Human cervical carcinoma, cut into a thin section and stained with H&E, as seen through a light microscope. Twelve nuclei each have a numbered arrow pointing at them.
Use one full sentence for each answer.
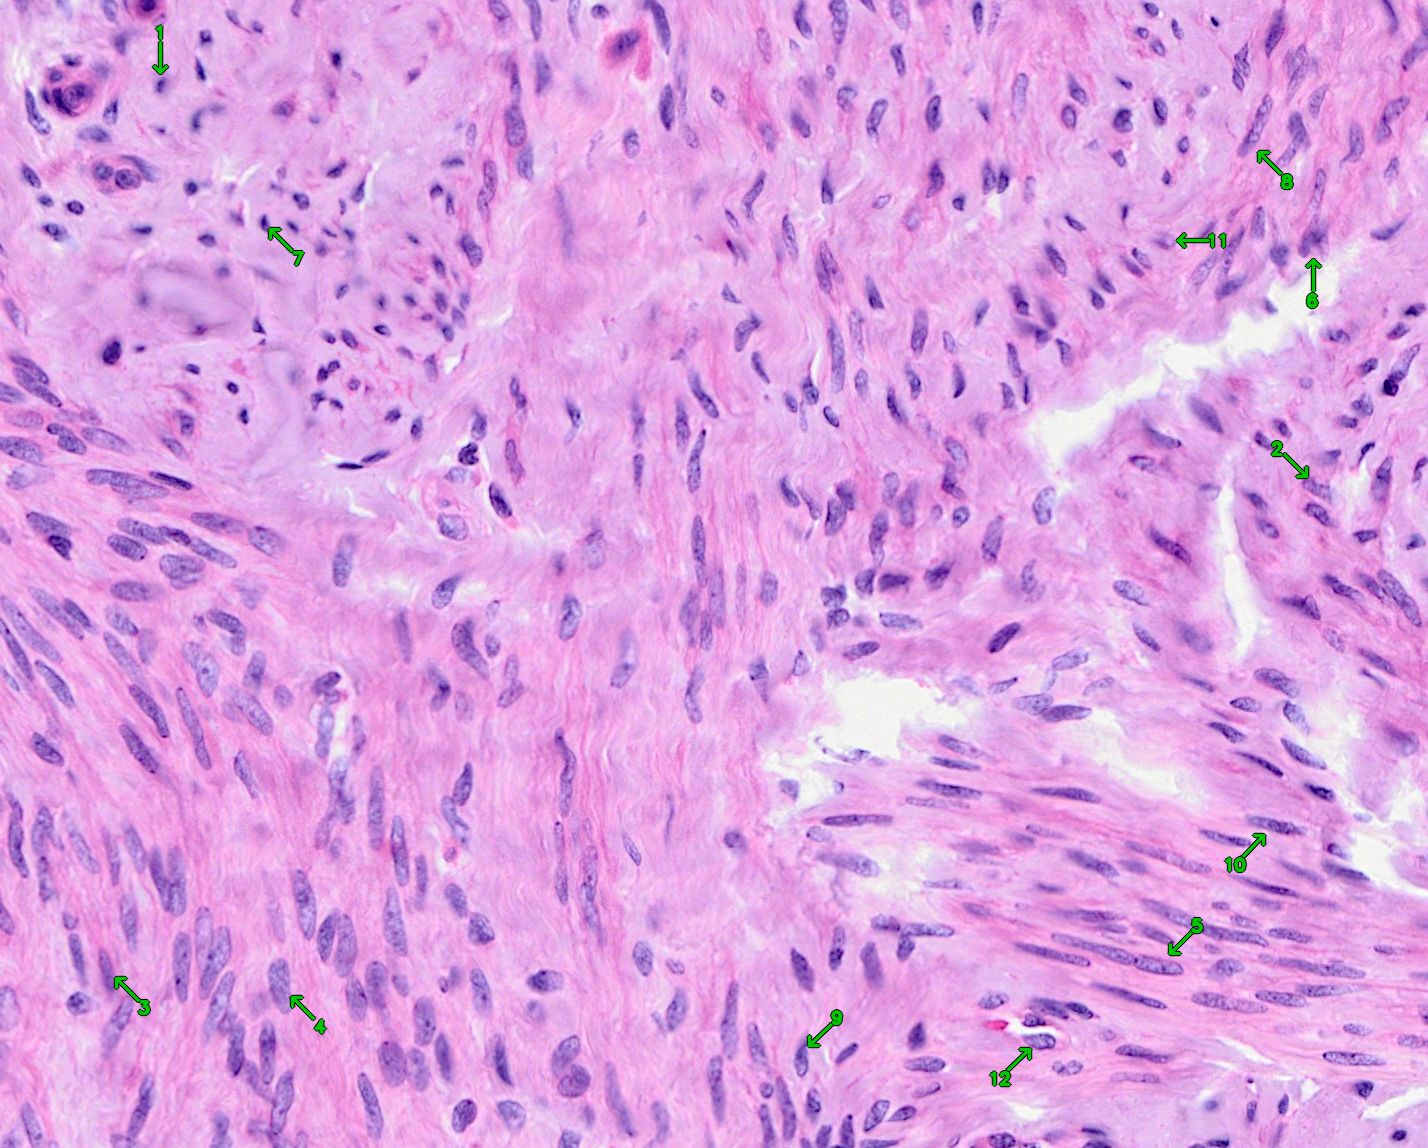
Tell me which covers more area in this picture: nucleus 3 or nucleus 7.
At about 3 times the area of nucleus 7, nucleus 3 is the larger of the two.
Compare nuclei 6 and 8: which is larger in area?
Nucleus 6 is larger, with an area about 2 times that of nucleus 8.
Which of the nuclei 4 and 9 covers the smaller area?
Nucleus 9 is the smaller one; nucleus 4 covers about 2 times its area.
